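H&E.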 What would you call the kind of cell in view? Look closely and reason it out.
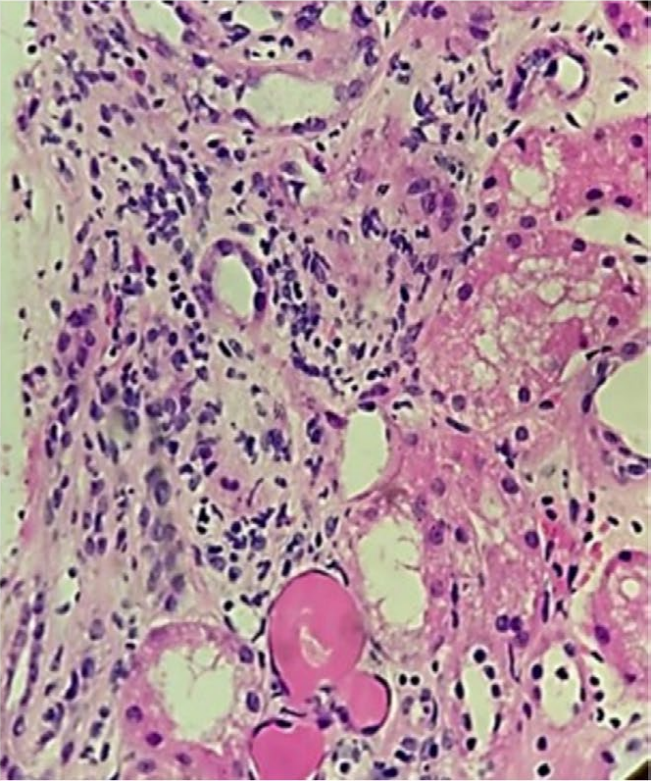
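Lymphocytes. Many small round dark nuclei crowd the space between tubules. The infiltrate is densest on the left side of the field.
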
